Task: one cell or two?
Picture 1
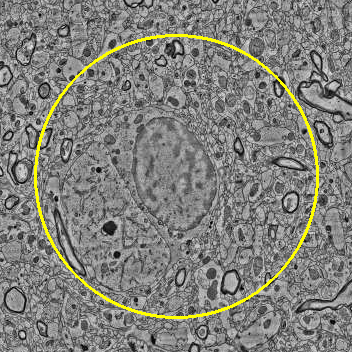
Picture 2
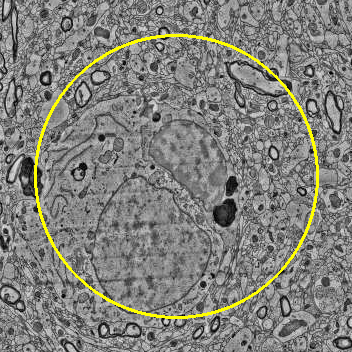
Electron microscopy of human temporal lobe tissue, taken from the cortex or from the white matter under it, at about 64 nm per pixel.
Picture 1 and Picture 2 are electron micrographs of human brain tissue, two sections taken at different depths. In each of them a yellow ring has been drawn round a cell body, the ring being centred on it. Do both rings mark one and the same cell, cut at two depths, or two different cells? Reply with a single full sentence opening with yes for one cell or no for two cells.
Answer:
Yes, the rings do not mark different cells but one cell.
